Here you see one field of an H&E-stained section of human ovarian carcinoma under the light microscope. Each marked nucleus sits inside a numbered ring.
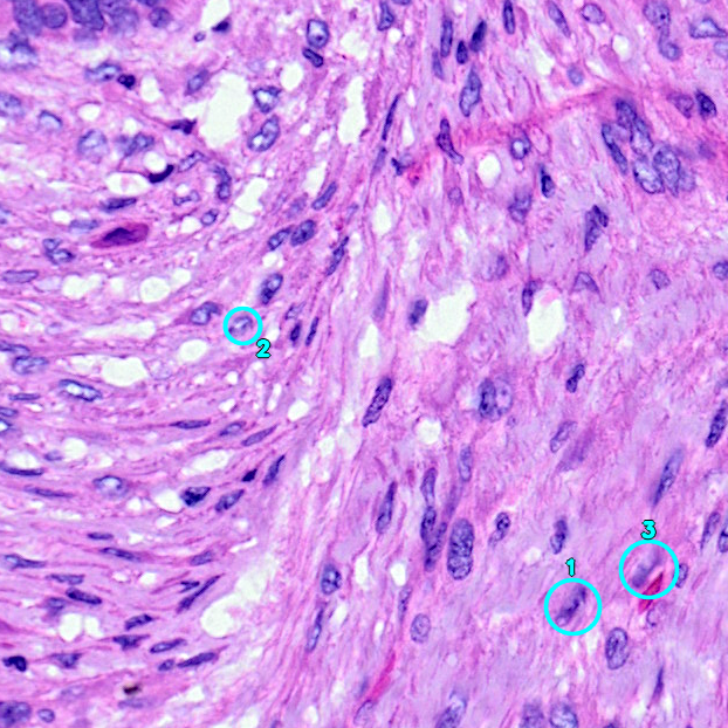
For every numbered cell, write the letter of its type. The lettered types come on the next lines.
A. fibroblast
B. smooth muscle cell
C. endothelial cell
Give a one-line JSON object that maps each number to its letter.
{"1": "A", "2": "A", "3": "C"}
